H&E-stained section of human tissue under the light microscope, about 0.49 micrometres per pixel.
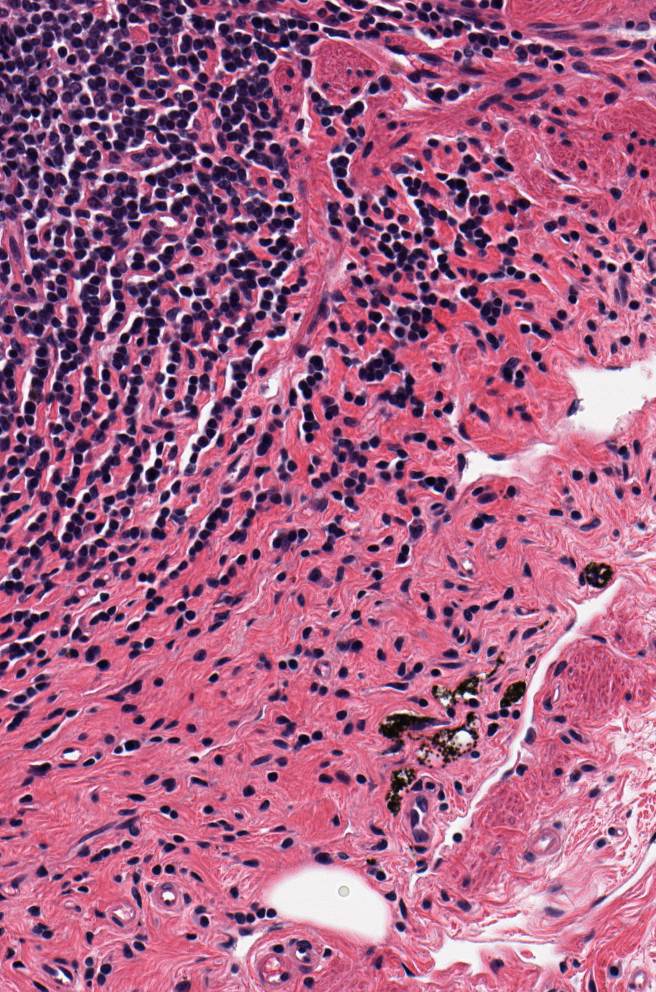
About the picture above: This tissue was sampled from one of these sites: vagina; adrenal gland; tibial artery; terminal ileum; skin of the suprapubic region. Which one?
terminal ileum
